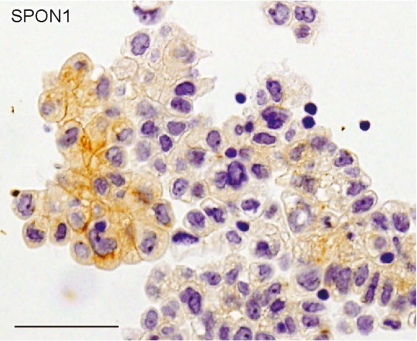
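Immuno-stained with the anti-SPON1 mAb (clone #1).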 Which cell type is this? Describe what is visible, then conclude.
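Loose clusters of large, round cells lying free without surrounding tissue. Nuclei are large and irregular, many with visible nucleoli. Some cells in the clusters show brown staining of cytoplasm and cell borders. Scattered much smaller cells with dense, dark round nuclei lie among them. The answer: tumor cells.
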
